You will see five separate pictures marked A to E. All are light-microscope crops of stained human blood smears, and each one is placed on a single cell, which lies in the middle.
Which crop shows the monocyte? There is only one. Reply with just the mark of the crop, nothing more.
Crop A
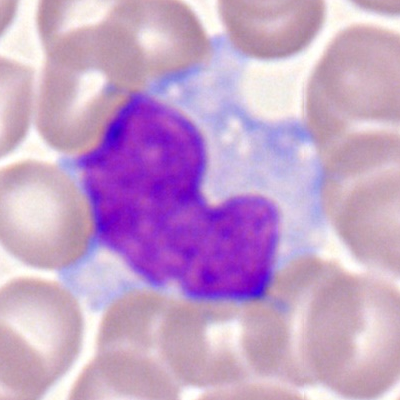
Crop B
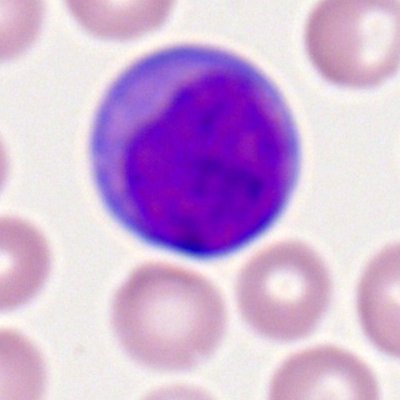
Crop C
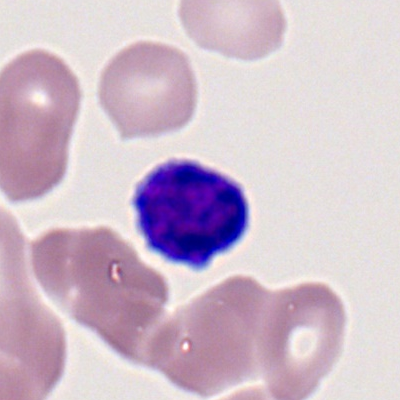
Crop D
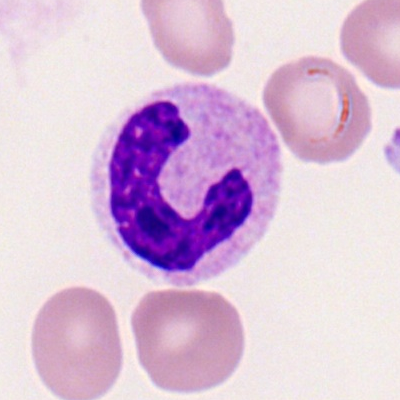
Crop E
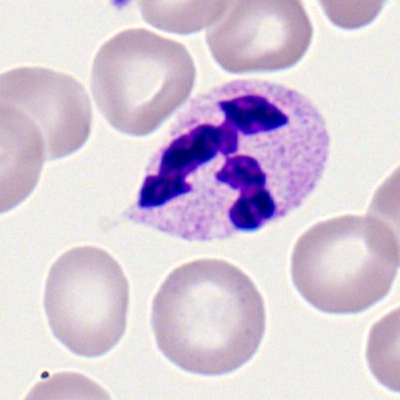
A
